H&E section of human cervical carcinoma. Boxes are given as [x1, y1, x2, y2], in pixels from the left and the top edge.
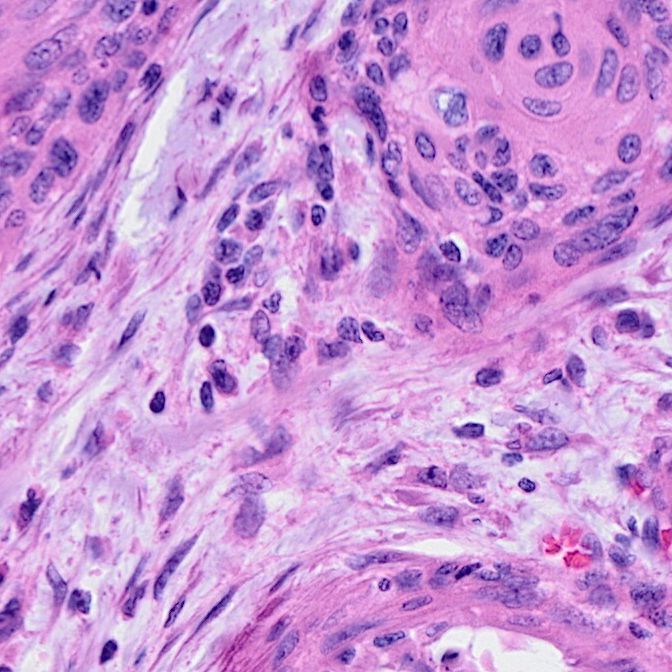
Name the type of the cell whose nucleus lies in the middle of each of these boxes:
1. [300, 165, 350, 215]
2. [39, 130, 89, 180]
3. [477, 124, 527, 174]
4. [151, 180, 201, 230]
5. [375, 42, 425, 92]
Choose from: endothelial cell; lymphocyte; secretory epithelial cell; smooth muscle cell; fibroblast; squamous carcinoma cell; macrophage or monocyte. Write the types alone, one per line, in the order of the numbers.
lymphocyte
squamous carcinoma cell
squamous carcinoma cell
fibroblast
squamous carcinoma cell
